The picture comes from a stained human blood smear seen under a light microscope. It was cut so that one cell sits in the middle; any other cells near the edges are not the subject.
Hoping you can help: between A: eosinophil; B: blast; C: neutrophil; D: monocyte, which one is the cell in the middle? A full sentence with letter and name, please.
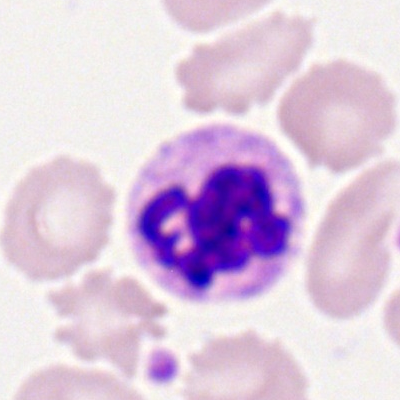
Option C is the correct one; it names the central cell as a neutrophil.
